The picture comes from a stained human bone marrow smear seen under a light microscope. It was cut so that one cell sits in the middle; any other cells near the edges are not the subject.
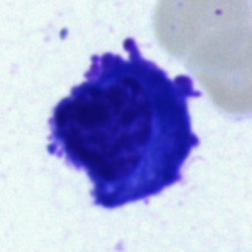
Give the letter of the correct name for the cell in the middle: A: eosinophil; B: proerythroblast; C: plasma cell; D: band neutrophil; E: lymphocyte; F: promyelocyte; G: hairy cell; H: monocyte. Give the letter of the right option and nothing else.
C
